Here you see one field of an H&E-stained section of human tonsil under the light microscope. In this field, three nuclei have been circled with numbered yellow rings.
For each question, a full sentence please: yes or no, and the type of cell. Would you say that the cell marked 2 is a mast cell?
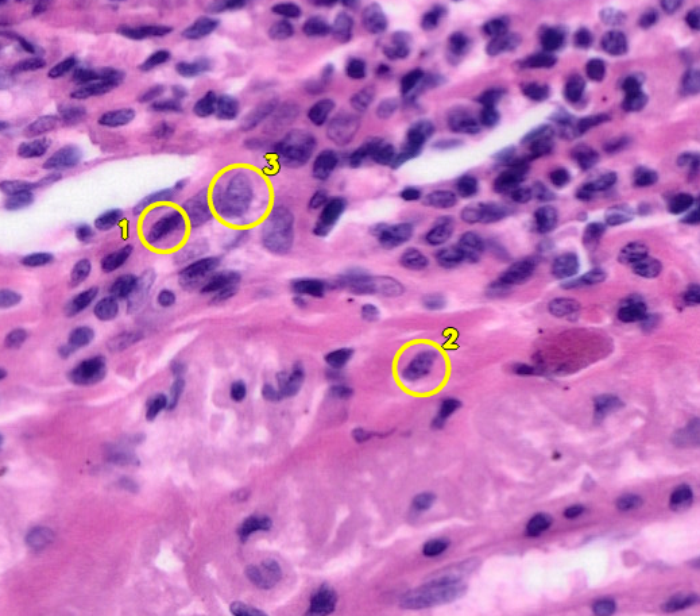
Yes, in this section the cell numbered 2 is a mast cell.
